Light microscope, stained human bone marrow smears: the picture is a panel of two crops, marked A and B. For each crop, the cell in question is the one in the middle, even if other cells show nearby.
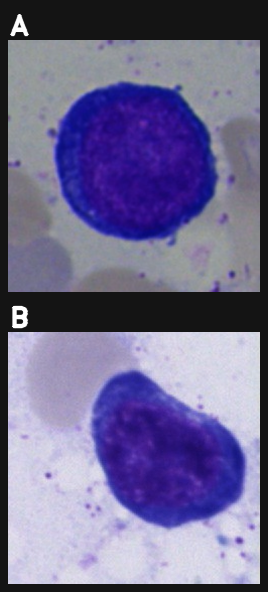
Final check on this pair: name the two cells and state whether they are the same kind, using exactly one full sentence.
Yes, the cells of interest in both crops are proerythroblasts.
